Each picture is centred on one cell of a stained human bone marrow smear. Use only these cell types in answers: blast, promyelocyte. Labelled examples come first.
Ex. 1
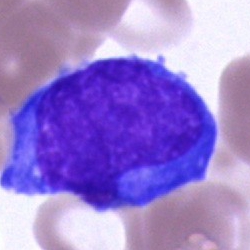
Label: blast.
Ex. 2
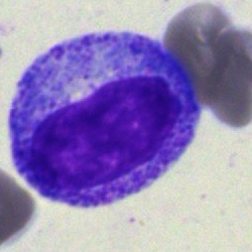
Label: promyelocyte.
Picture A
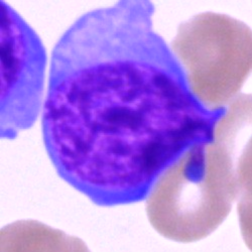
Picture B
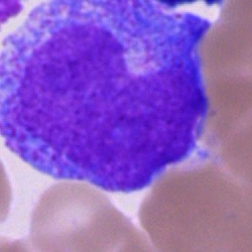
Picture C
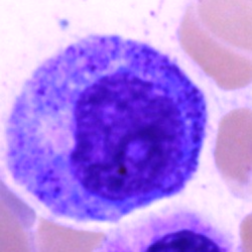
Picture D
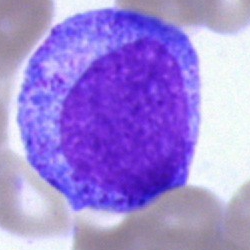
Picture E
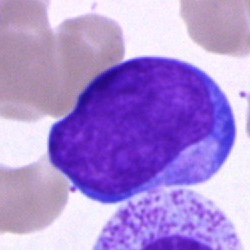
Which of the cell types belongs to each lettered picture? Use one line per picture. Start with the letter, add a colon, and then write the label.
A: blast.
B: promyelocyte.
C: promyelocyte.
D: promyelocyte.
E: blast.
